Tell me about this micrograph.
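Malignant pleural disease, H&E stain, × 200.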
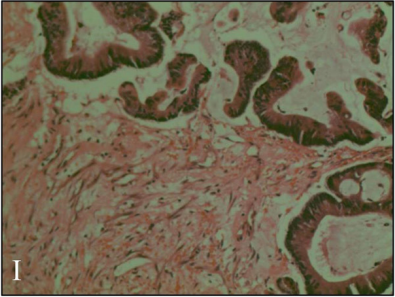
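This section shows tall columnar cancer cells lining gland-like spaces set in a fibrous stroma. The lining epithelium bends and branches around open lumens, with the cells' elongated, dark nuclei crowded and stacked toward the base of the cells. Between the glands lies pink connective tissue with wavy fibres and scattered spindle-shaped cells.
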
